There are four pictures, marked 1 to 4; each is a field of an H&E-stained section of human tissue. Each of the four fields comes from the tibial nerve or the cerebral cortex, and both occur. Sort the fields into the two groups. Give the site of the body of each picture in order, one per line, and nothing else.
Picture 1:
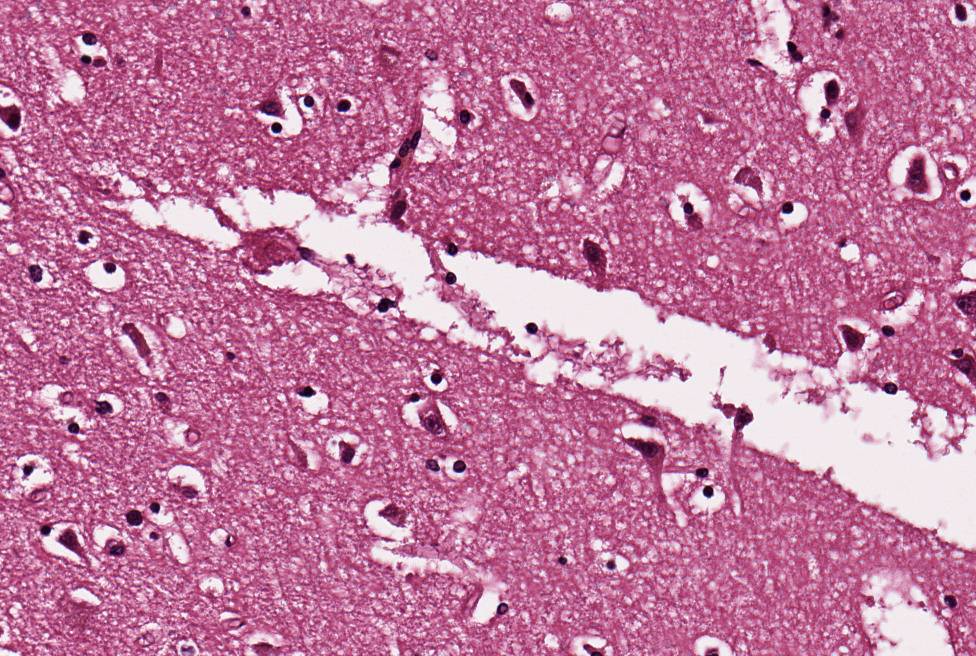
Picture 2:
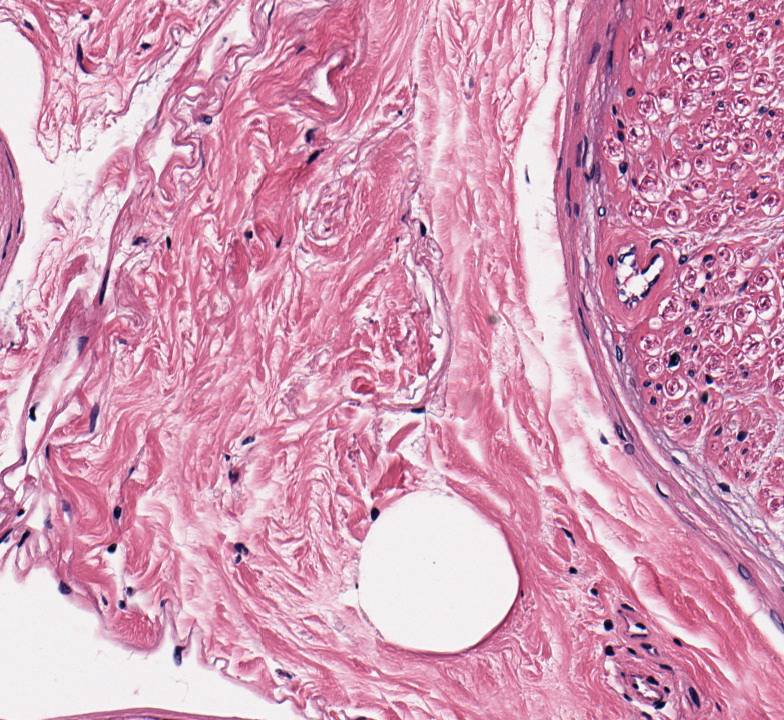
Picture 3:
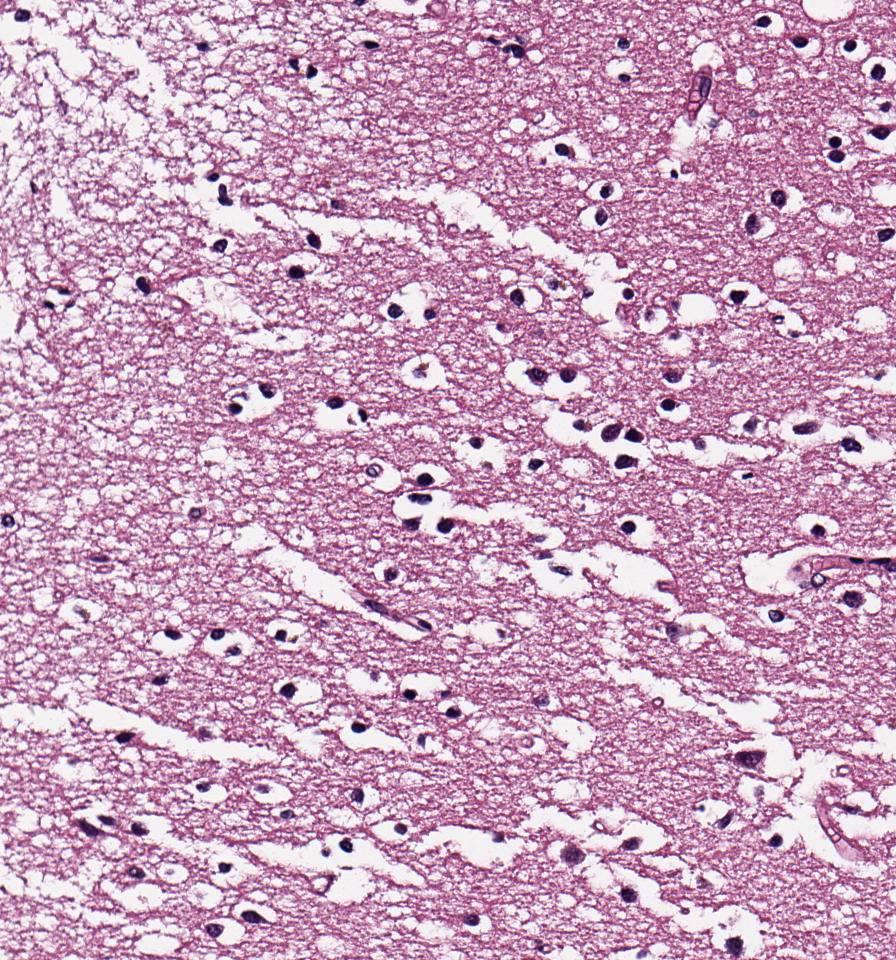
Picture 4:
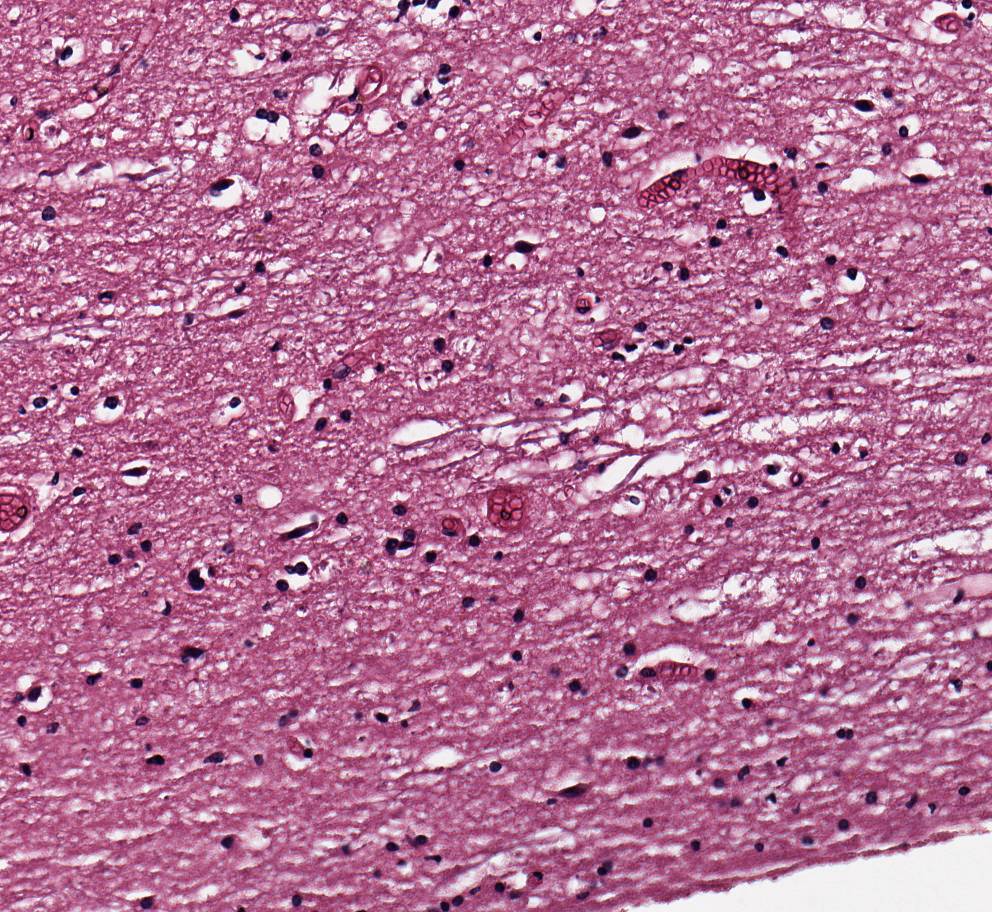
cerebral cortex
tibial nerve
cerebral cortex
cerebral cortex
